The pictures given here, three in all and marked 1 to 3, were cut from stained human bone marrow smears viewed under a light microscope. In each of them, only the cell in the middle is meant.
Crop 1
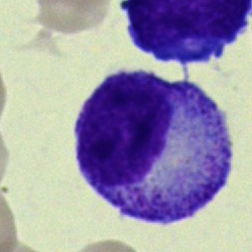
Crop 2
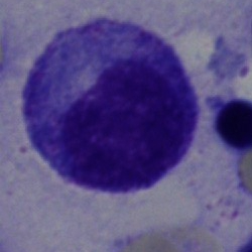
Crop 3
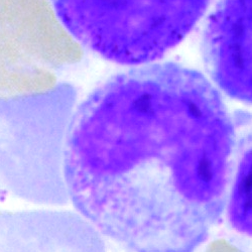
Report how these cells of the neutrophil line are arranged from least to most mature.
2, 1, 3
